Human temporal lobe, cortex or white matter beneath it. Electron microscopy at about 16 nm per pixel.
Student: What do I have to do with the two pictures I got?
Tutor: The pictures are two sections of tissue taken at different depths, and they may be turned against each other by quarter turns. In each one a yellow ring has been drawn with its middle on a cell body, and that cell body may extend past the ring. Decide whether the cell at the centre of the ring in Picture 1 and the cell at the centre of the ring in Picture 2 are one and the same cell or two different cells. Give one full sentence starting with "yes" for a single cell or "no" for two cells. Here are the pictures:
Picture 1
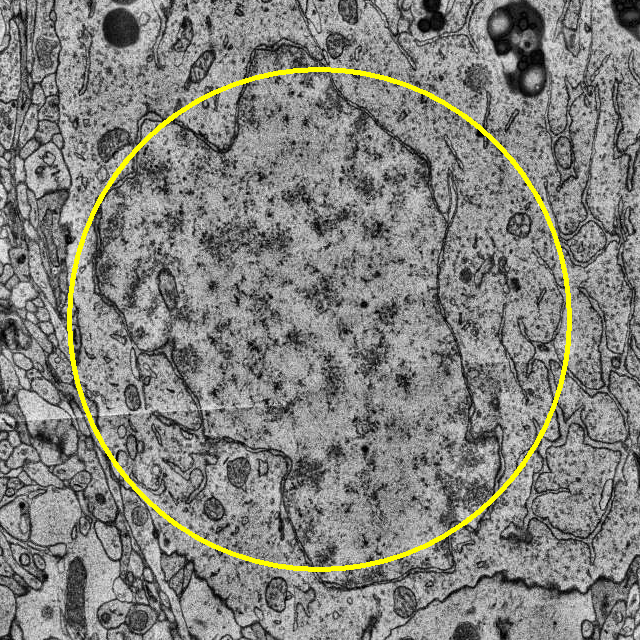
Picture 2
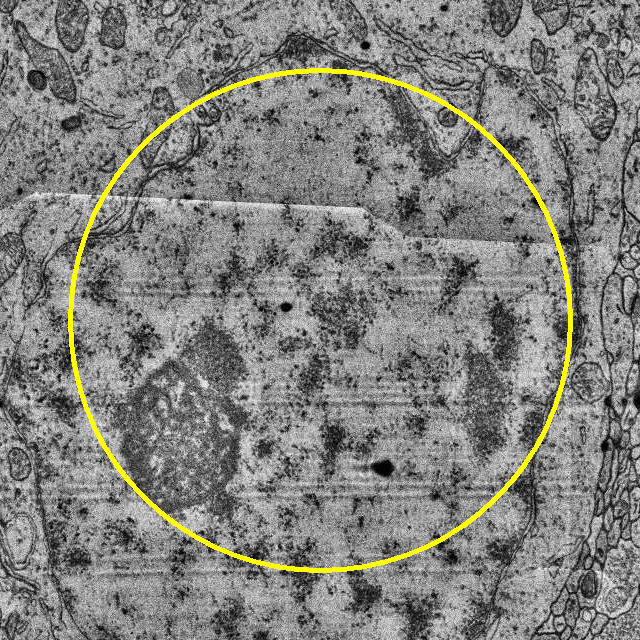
No, the two rings refer to two distinct cells.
